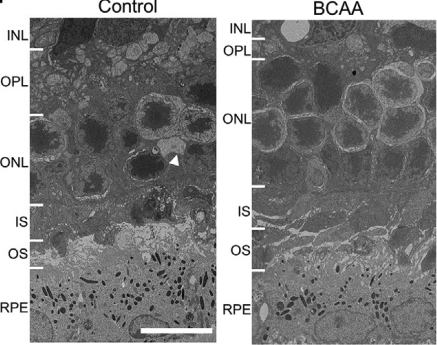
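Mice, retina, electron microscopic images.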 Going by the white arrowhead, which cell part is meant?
Intracellular vacuoles.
